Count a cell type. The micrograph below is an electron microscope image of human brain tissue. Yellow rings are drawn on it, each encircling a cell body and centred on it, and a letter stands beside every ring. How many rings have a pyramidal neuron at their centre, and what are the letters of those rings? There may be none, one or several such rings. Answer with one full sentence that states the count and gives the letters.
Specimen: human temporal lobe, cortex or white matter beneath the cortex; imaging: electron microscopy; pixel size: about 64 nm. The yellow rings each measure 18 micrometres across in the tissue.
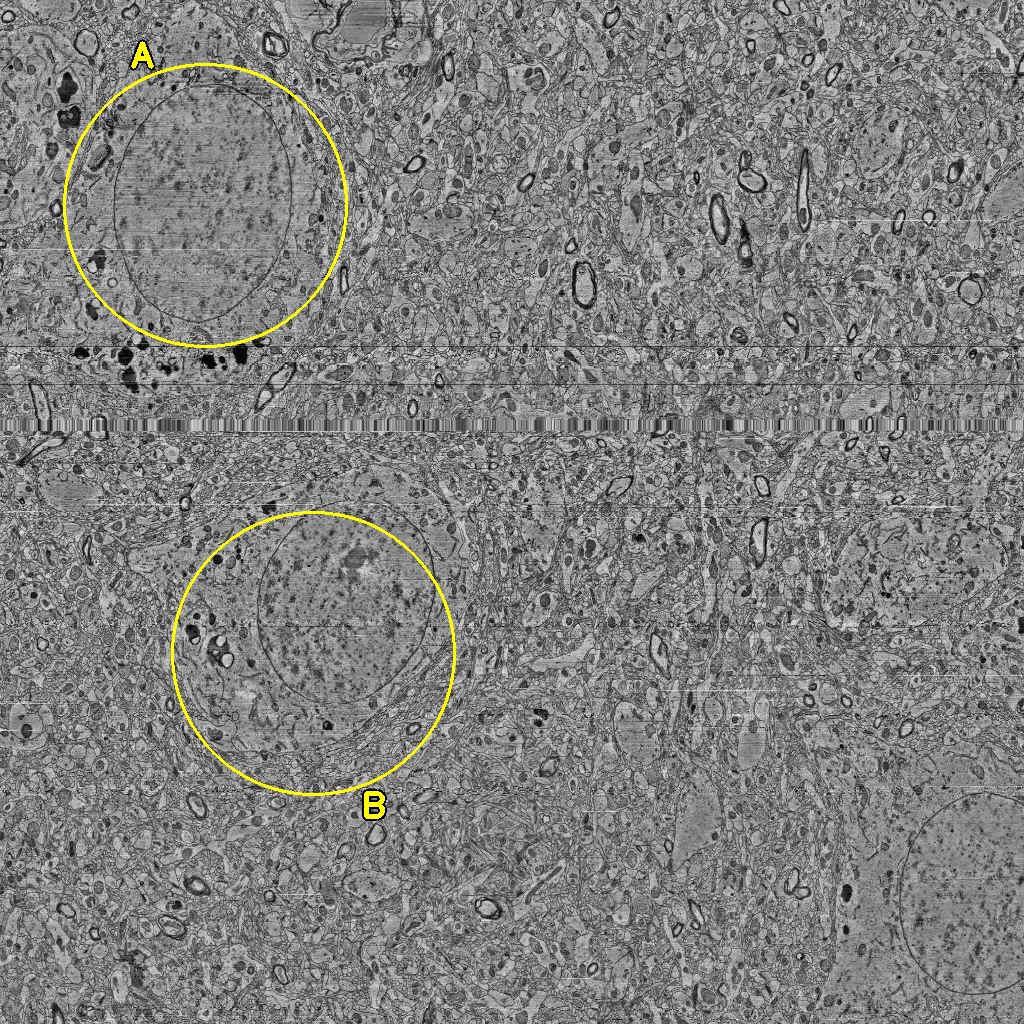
There exist two rings lettered A and B, and a pyramidal neuron lies at the centre of each.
